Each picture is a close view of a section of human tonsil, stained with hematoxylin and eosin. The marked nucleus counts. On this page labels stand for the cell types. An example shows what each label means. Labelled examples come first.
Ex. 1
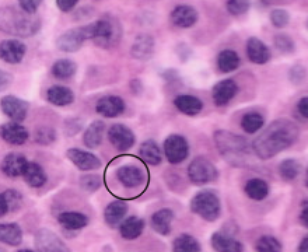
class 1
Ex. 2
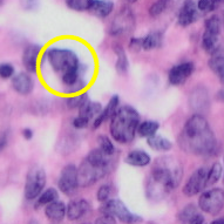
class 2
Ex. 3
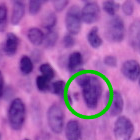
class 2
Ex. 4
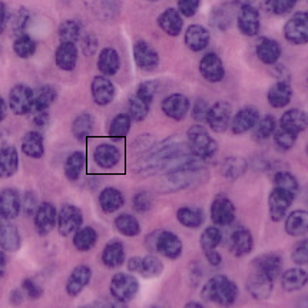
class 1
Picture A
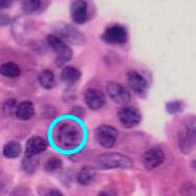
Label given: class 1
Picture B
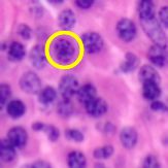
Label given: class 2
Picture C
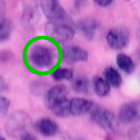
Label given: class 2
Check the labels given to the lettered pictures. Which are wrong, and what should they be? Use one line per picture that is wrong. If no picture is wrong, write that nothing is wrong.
B: not class 2 but class 1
